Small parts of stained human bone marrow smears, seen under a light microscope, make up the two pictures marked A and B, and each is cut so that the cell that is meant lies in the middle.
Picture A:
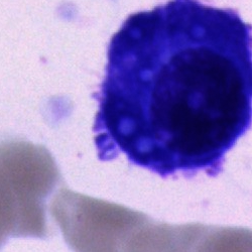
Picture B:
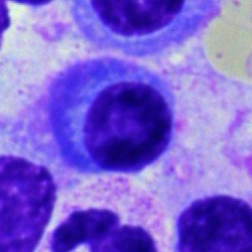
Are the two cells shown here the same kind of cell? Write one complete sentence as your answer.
Yes, both are plasma cells.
